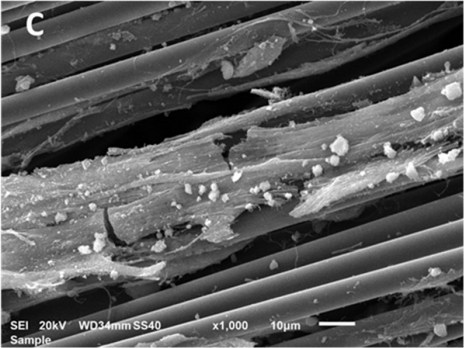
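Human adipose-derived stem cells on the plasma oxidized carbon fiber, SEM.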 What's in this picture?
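A bundle of smooth, parallel, uniformly wide fibres runs diagonally across the field, and a broad sheet of flattened cells lies along and over several of them. The cell sheet is elongated in the direction of the fibres, wraps across neighbouring fibres, and shows fine ridges and small rounded granules on its surface, with a few cracks through it. Thin strands reach from the cell edges to adjacent fibres.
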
